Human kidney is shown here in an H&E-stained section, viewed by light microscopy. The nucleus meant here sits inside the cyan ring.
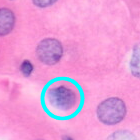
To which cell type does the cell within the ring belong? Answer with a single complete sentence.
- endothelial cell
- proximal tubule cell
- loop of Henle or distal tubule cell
The cell meant here is an endothelial cell.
